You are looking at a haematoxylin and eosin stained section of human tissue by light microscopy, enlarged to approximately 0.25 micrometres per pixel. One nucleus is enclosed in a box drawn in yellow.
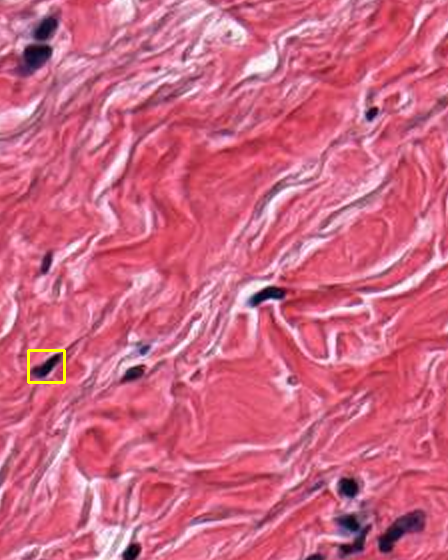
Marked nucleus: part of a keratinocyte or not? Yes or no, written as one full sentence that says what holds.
No, the marked nucleus is the nucleus of a supporting cell rather than of a keratinocyte.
